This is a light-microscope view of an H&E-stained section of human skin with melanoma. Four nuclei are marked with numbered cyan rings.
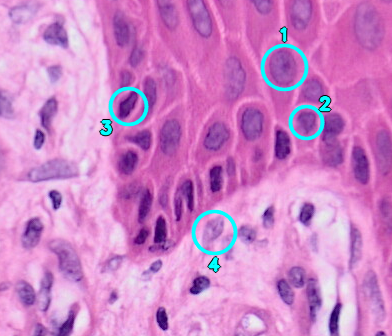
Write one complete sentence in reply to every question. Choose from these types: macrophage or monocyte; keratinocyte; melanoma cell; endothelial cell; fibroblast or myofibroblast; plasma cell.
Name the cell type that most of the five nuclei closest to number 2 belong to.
Keratinocytes account for more than half of the five nuclei nearest to number 2.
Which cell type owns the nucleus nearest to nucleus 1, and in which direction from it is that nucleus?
The nearest nucleus is that of a keratinocyte and lies below and to the right of nucleus 1.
